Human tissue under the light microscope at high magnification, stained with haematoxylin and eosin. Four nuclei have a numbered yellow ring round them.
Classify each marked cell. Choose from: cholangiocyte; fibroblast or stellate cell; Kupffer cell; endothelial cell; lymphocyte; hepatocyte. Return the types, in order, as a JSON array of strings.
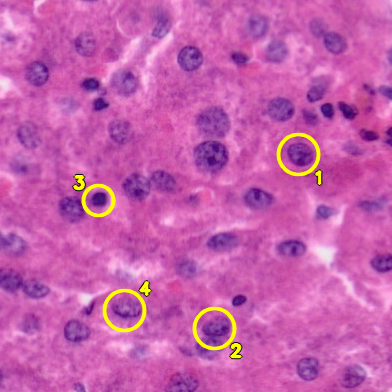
["hepatocyte", "hepatocyte", "lymphocyte", "hepatocyte"]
